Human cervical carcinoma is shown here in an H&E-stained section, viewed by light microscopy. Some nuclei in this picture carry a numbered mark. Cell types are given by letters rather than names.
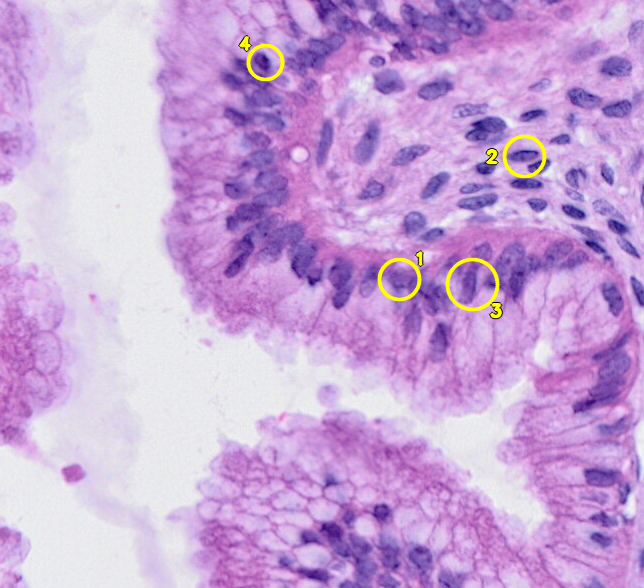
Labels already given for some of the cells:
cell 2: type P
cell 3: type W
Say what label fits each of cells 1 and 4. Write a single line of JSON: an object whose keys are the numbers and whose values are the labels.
{"1": "type W", "4": "type W"}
